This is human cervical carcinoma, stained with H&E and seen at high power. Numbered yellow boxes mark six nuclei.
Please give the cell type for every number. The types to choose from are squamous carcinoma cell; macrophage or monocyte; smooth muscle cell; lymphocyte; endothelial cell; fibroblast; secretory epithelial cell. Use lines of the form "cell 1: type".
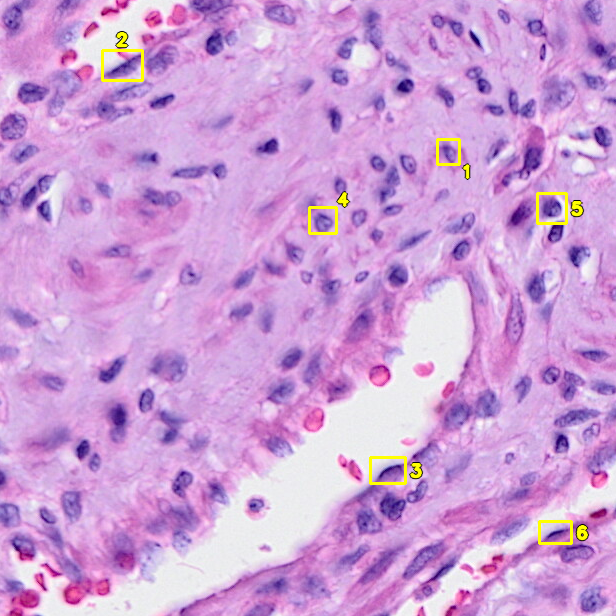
cell 1: smooth muscle cell
cell 2: endothelial cell
cell 3: endothelial cell
cell 4: smooth muscle cell
cell 5: lymphocyte
cell 6: endothelial cell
